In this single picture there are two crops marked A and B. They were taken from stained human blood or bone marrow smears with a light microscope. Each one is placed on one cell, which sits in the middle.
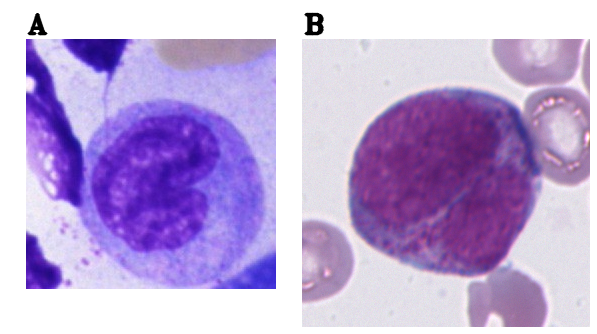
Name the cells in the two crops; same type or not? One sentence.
No, in crop B the central cell is a promyelocyte, and in crop A it is a monocyte.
